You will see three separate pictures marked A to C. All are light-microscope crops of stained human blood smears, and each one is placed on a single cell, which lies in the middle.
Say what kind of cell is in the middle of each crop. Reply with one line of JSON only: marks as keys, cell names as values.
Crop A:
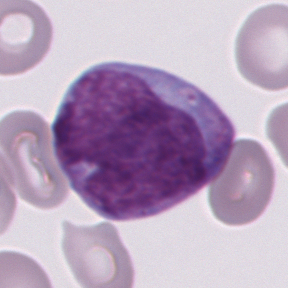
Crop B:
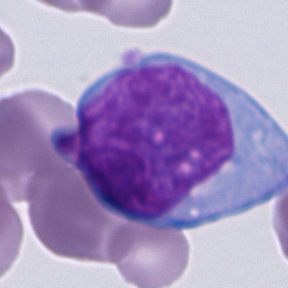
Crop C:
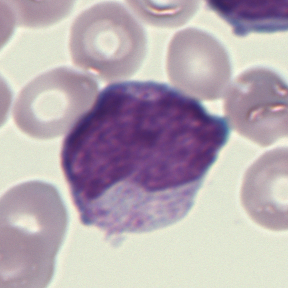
{"A": "atypical promyelocyte", "B": "myeloblast", "C": "atypical promyelocyte"}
